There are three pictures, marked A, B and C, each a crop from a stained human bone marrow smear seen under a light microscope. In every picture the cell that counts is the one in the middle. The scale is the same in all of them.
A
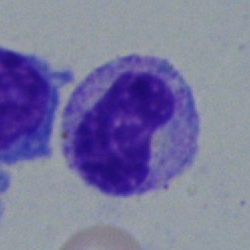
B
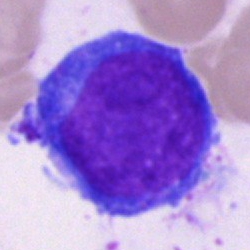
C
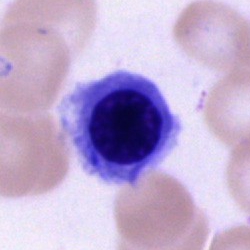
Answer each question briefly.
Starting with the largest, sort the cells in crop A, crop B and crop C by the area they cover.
B, A, C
